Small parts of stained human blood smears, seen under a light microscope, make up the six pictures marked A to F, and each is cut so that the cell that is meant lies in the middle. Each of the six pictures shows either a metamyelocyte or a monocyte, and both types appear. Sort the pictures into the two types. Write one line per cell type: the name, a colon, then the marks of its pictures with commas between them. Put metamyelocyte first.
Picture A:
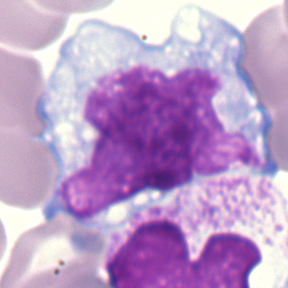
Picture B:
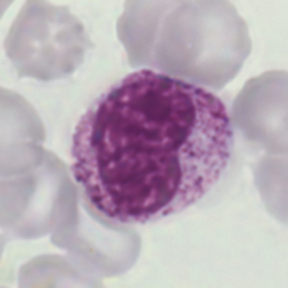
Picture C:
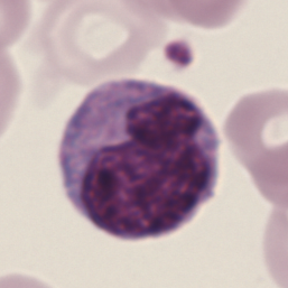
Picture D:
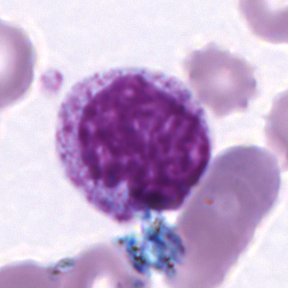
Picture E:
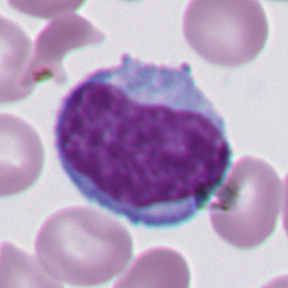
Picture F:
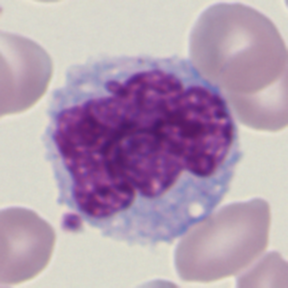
metamyelocyte: B, D
monocyte: A, C, E, F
